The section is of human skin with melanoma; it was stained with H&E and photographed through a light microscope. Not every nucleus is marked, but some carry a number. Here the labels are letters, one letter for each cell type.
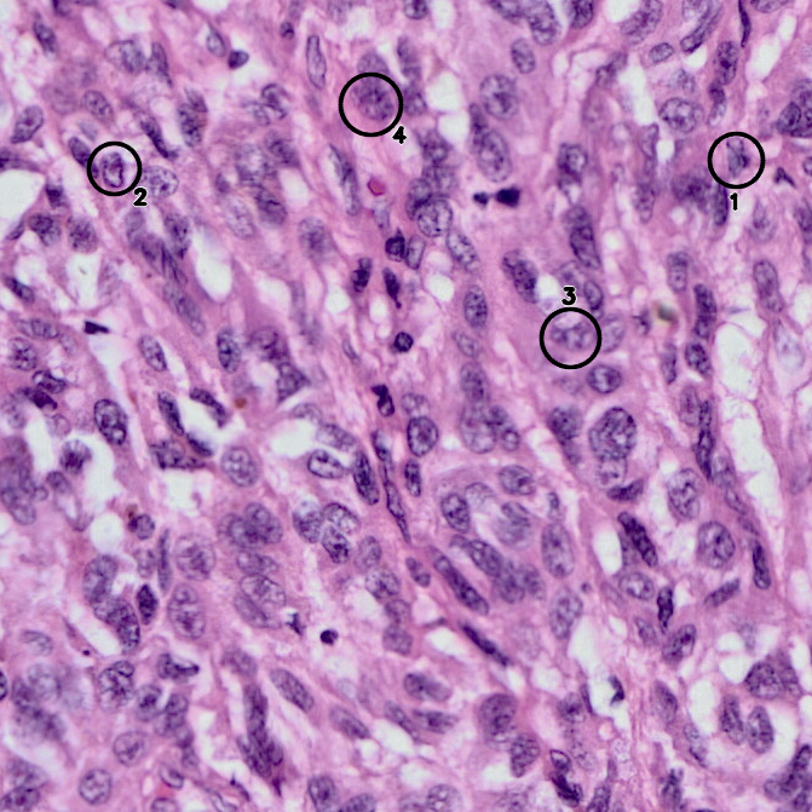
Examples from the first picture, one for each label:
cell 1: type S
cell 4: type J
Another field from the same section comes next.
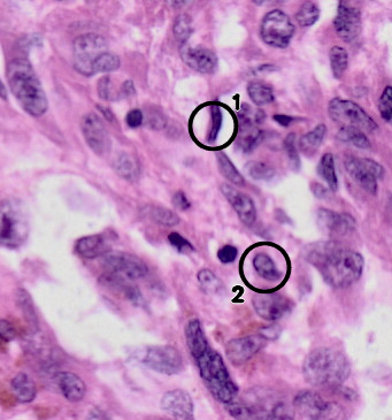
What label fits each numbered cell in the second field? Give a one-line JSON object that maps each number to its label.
{"1": "type J", "2": "type S"}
